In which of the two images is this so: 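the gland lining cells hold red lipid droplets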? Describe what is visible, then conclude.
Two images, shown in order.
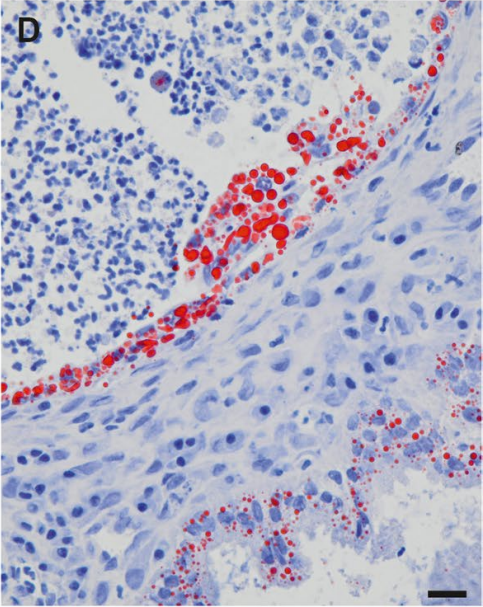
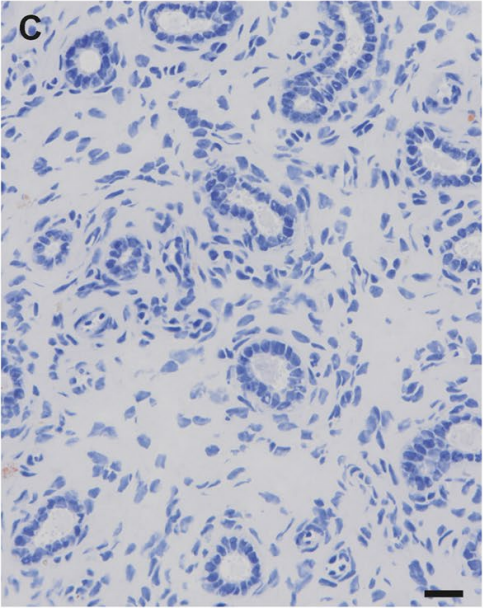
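The first image. First image: the lining cells are packed with round bright red droplets. Second image: the gland linings are blue only, with no red.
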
